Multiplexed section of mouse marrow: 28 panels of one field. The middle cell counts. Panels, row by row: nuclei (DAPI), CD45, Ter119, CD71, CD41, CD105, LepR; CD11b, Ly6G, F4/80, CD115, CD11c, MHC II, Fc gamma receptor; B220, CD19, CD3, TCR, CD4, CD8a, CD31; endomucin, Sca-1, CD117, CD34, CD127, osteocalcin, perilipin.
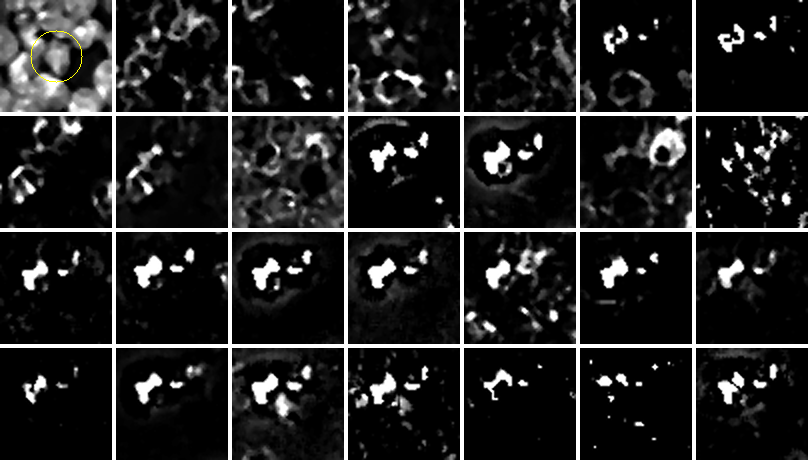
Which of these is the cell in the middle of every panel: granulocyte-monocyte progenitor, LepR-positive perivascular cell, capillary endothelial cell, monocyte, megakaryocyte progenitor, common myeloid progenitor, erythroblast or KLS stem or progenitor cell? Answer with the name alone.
KLS stem or progenitor cell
